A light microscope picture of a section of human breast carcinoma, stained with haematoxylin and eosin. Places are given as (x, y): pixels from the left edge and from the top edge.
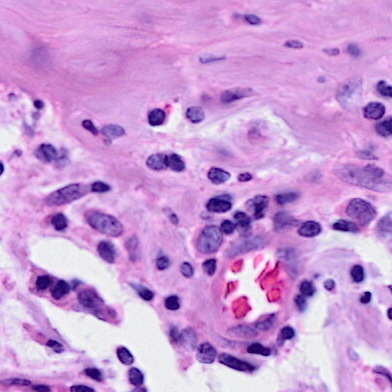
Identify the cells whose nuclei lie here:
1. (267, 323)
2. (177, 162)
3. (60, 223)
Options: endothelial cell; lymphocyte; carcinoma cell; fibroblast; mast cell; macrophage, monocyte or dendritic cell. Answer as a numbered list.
1. endothelial cell
2. lymphocyte
3. lymphocyte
